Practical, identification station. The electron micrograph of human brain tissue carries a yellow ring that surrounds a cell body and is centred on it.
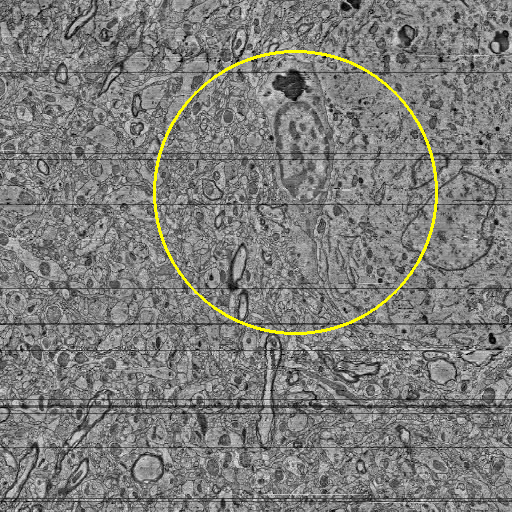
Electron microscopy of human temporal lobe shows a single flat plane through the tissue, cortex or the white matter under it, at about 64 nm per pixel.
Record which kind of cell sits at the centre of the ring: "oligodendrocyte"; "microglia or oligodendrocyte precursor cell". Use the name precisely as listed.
oligodendrocyte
